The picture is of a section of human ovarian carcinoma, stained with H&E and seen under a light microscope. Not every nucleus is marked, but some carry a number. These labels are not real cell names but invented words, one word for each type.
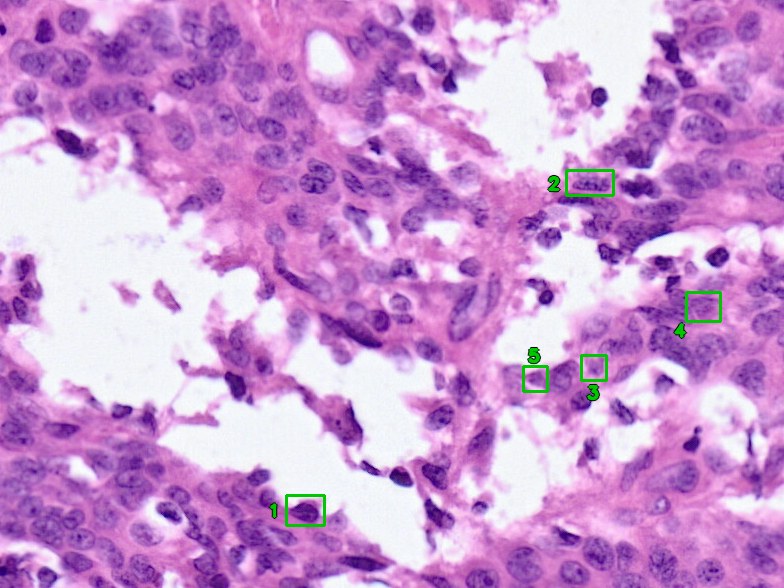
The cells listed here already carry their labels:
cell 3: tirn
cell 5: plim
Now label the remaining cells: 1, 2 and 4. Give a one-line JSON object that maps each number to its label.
{"1": "plim", "2": "tirn", "4": "plim"}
